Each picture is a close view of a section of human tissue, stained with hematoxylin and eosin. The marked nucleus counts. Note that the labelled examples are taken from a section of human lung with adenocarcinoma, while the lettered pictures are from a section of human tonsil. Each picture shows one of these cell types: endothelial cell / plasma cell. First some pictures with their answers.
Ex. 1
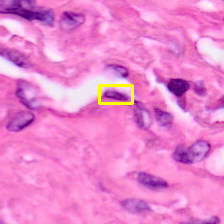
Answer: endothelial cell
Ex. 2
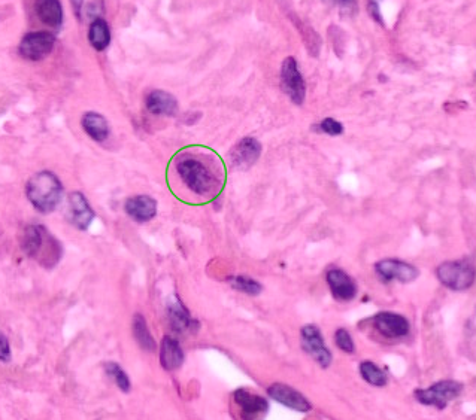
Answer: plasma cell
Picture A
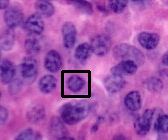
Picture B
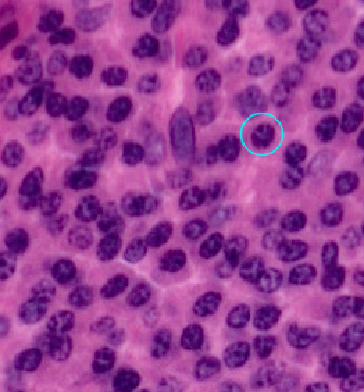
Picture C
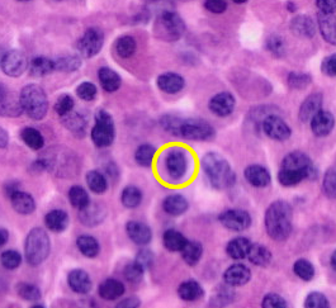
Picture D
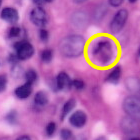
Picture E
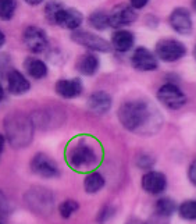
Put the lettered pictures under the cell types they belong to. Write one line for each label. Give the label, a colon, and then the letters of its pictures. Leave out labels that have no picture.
endothelial cell: D, E
plasma cell: A, B, C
